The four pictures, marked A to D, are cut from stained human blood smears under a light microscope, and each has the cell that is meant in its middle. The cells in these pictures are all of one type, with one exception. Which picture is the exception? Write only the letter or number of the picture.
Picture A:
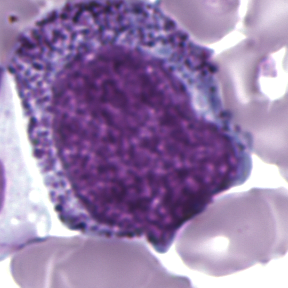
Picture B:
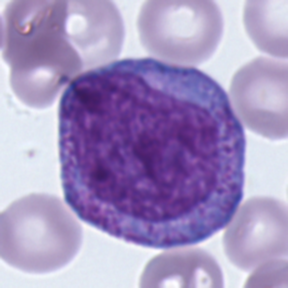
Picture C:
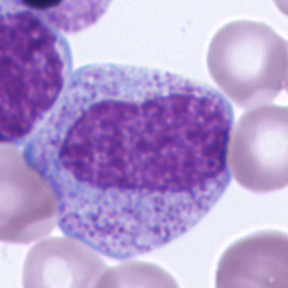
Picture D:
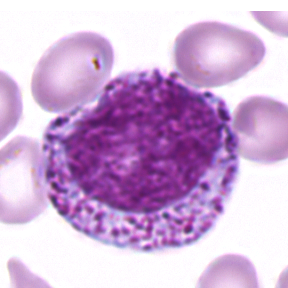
D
